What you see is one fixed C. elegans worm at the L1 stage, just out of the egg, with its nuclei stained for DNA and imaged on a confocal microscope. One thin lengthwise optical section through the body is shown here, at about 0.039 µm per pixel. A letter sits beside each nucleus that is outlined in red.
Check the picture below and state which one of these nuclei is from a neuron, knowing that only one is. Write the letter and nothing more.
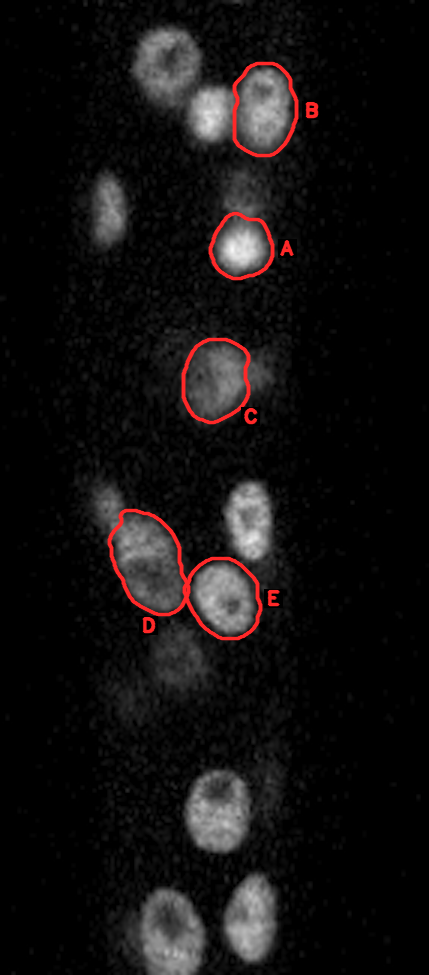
A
